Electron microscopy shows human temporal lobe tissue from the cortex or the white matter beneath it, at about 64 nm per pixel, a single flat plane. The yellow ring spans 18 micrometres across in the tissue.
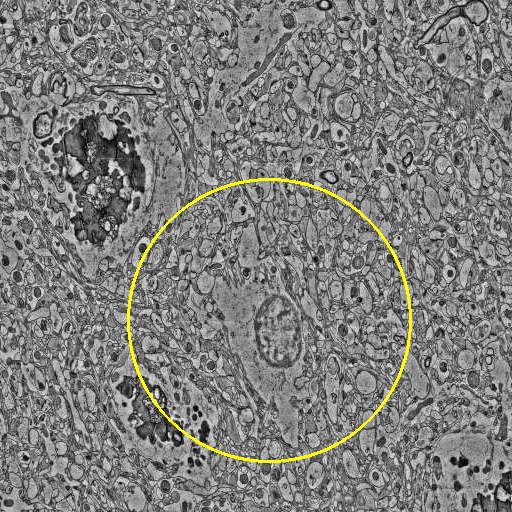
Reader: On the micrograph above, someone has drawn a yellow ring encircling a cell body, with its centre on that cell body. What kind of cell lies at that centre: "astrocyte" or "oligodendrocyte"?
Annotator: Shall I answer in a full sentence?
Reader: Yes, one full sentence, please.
Here an astrocyte sits at the centre of the yellow ring drawn on the micrograph.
